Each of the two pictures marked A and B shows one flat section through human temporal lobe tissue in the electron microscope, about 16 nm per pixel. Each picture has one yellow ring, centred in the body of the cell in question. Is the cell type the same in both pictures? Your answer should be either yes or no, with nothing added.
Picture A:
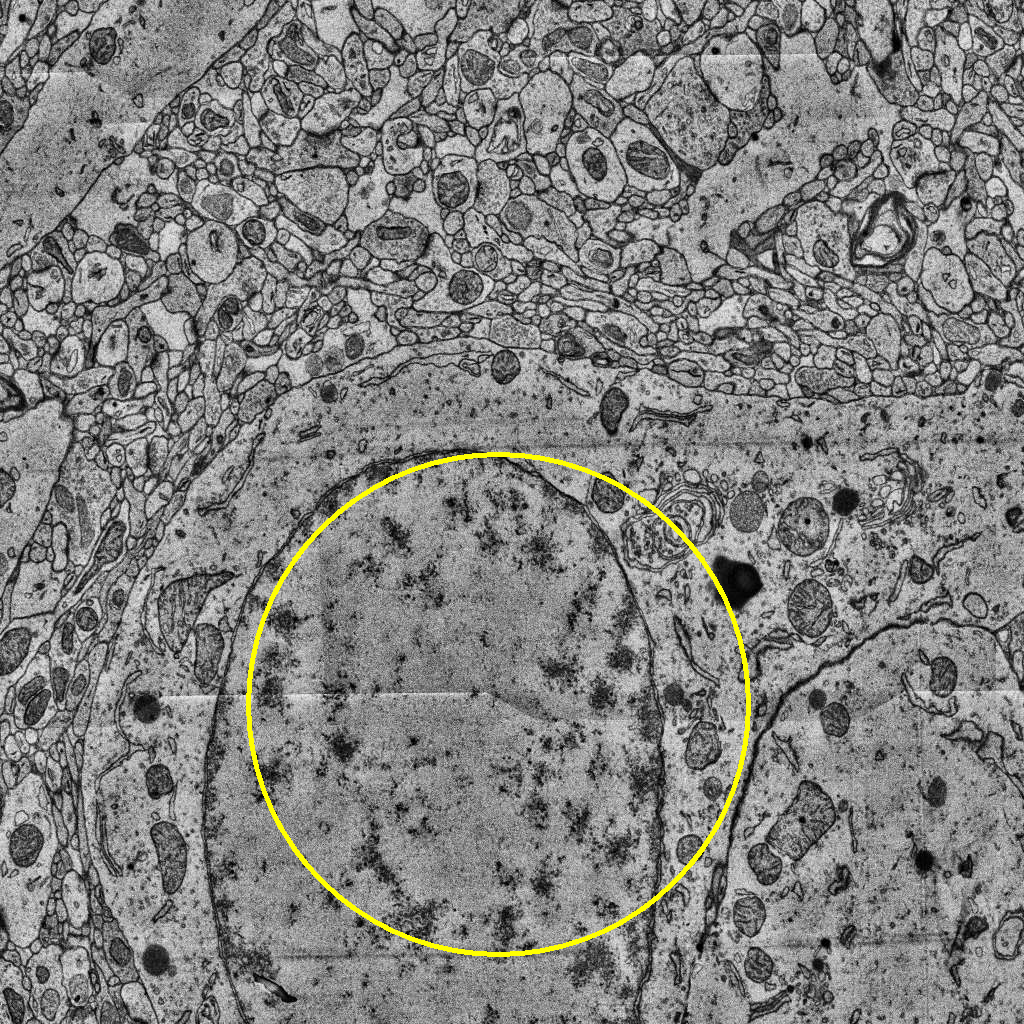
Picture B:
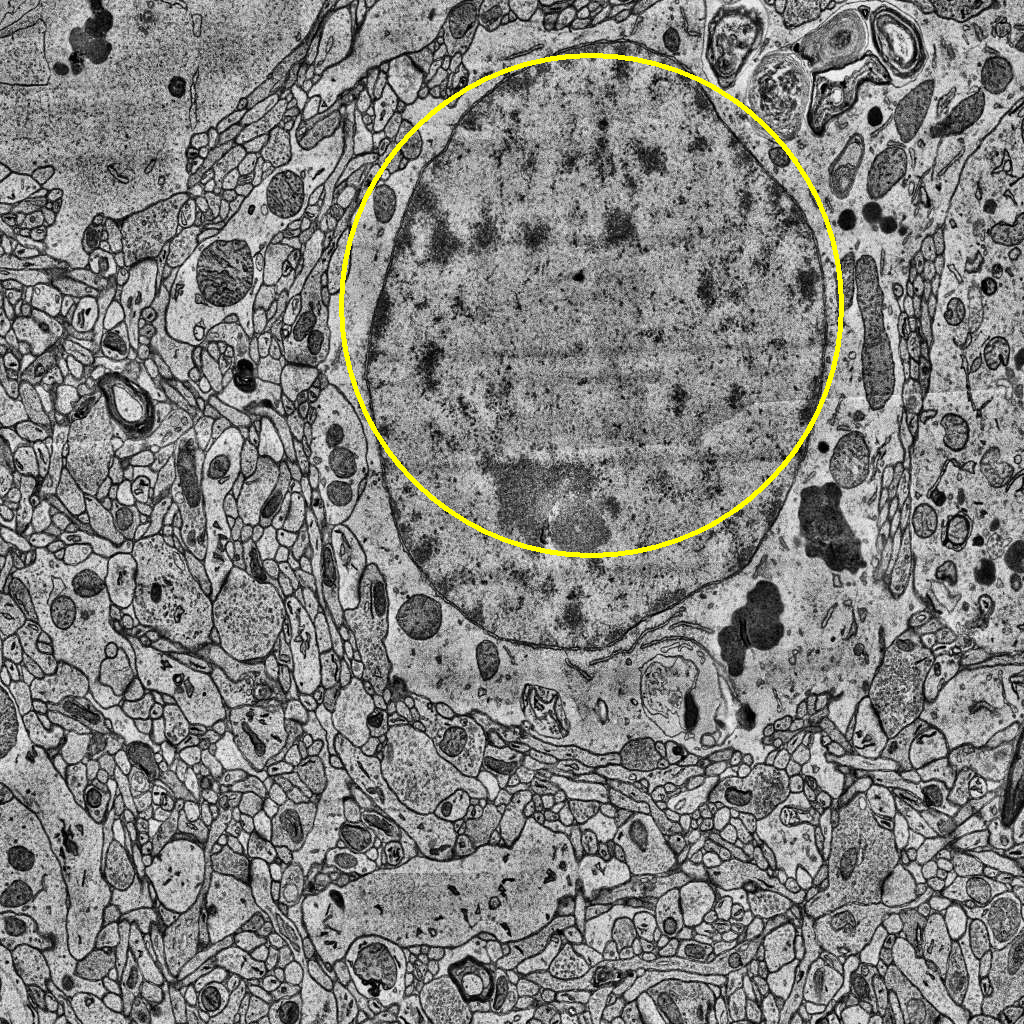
no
